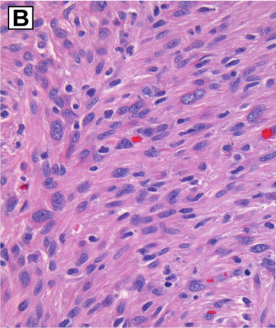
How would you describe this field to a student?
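Compact fascicles of tumor cells with elongated to oval nuclei arranged in parallel streams. Nuclei have fine chromatin and some show small nucleoli; cytoplasm is pink and fibrillar, merging between cells. Scattered red blood cells lie among the tumor cells.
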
